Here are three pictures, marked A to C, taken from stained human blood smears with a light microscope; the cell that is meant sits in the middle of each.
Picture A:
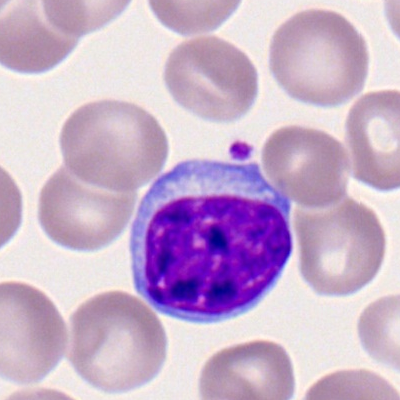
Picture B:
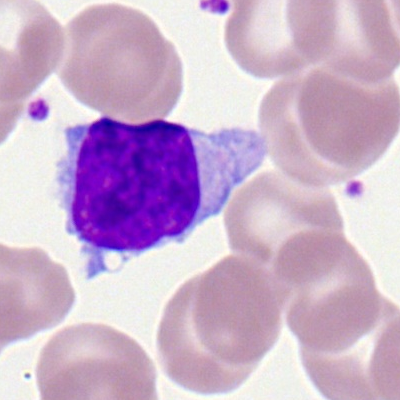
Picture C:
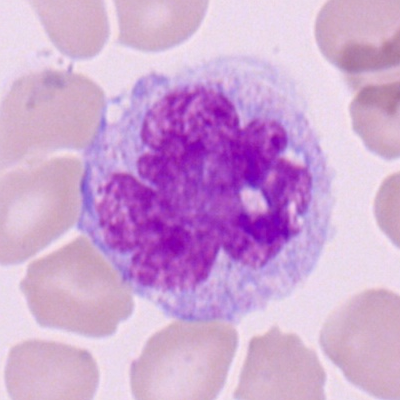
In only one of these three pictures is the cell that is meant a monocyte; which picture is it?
C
